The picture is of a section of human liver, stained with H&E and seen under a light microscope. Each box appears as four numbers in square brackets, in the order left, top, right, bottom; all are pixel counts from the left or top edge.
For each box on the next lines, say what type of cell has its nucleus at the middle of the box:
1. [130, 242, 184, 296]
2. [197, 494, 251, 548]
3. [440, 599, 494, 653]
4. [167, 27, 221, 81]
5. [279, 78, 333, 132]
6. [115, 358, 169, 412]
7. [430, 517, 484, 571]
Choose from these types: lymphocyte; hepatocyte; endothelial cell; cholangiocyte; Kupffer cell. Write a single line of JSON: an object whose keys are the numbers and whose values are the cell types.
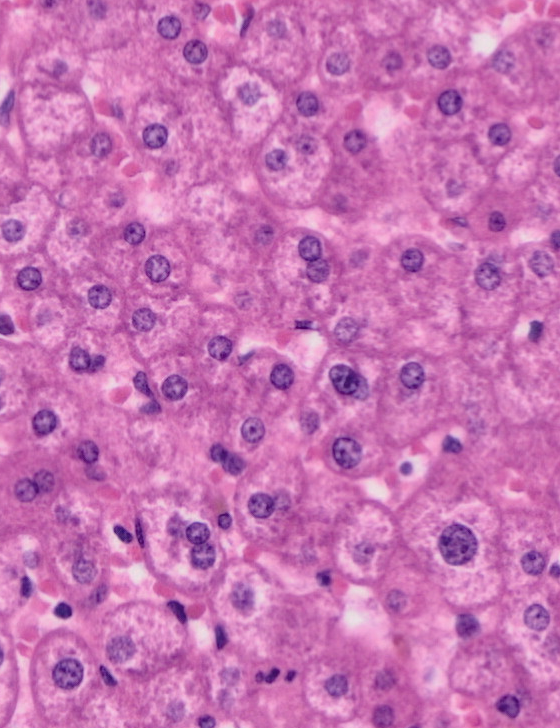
{"1": "hepatocyte", "2": "Kupffer cell", "3": "endothelial cell", "4": "hepatocyte", "5": "hepatocyte", "6": "Kupffer cell", "7": "hepatocyte"}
